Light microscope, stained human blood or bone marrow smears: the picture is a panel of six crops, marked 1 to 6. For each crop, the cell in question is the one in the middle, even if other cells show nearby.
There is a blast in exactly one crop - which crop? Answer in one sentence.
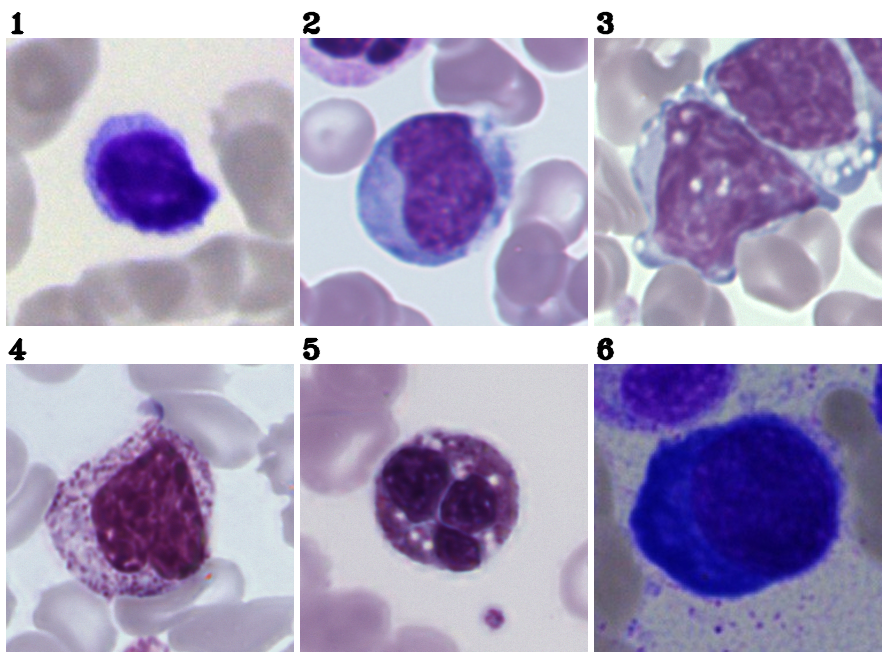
Crop 3 is the one depicting a blast.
